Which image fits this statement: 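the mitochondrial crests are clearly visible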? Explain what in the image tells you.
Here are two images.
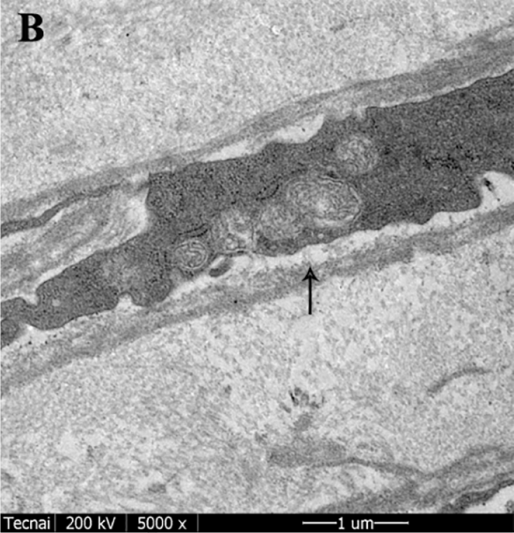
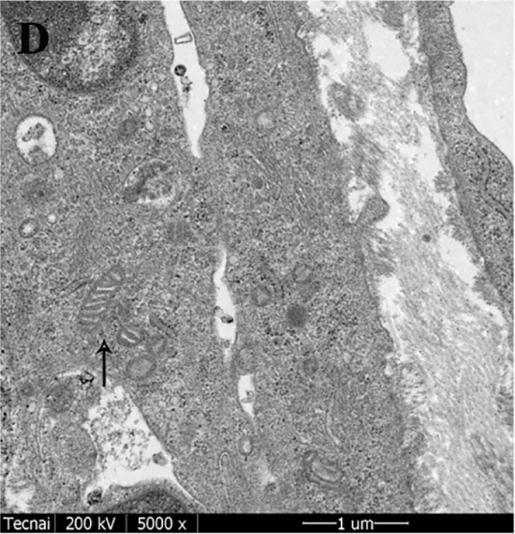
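Second image: oval organelles show distinct parallel transverse inner membrane folds. First image: the organelles are replaced by large round bodies of concentric whorled membranes without regular folds.
The second image.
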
